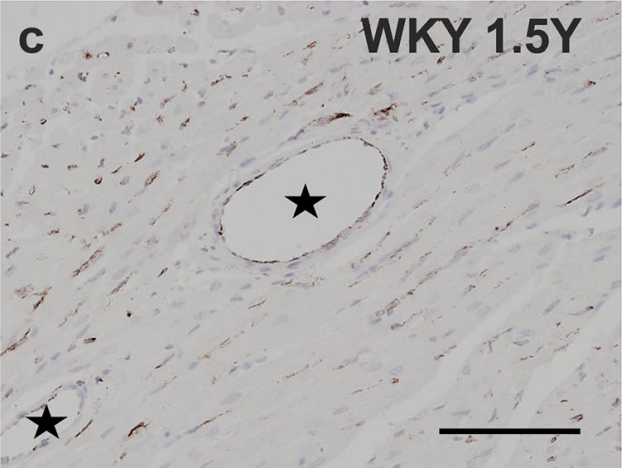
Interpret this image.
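This is heart muscle cut along its fibres, with a larger blood vessel in the middle and a smaller one at the lower left corner. The muscle fibres run diagonally as long pale grey bands with scattered elongated blue nuclei. Scattered among the fibres are many short brown streaks and dots, running in the same direction as the fibres, which mark small vessels lying between them. The muscle fibres themselves stay pale.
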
